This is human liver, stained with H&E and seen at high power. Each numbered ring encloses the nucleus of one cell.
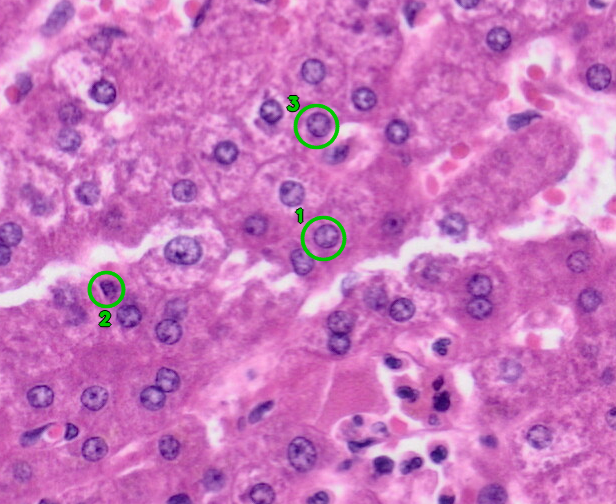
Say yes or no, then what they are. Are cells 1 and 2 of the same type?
No, cell 1 is a hepatocyte and cell 2 is a fibroblast or stellate cell.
